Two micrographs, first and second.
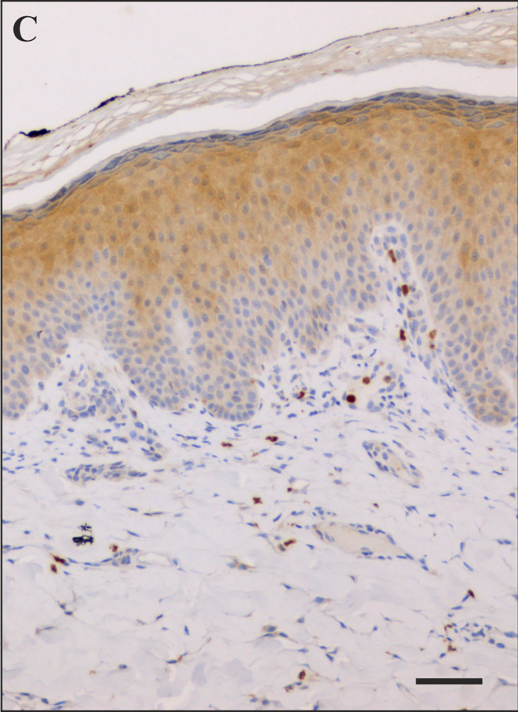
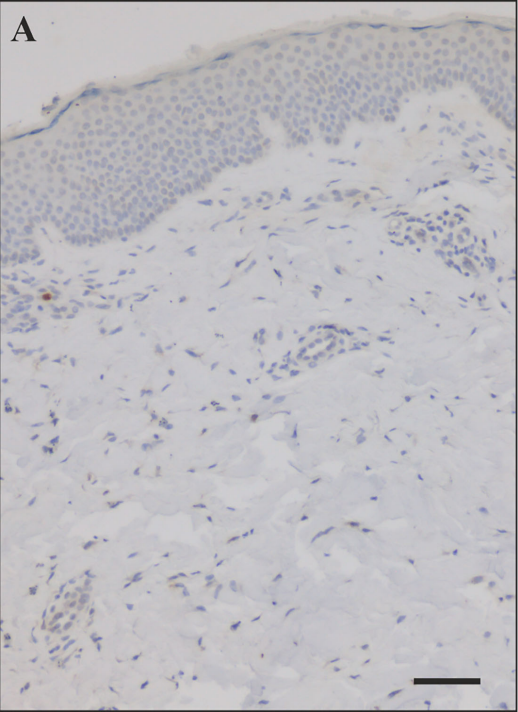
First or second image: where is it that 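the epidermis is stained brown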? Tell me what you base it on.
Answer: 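The first image. First image: the surface epithelium is diffusely brown. Second image: the surface epithelium is blue-grey with no brown.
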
